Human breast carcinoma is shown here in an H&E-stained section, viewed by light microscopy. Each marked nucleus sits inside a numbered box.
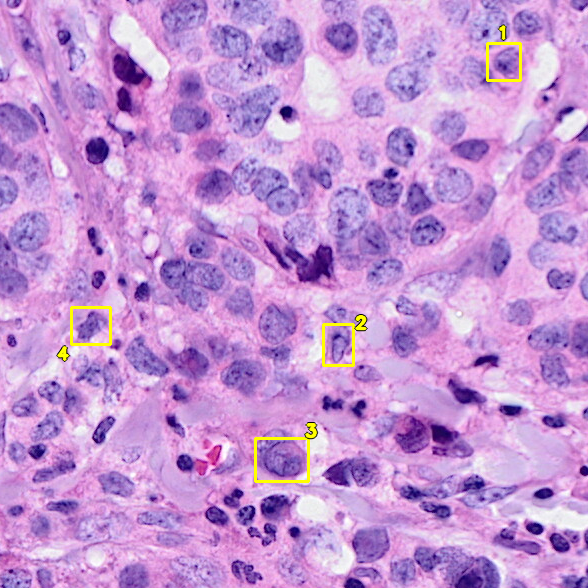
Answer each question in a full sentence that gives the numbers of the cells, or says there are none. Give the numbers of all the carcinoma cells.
Classified as carcinoma cells are the cells numbered 1 and 3.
